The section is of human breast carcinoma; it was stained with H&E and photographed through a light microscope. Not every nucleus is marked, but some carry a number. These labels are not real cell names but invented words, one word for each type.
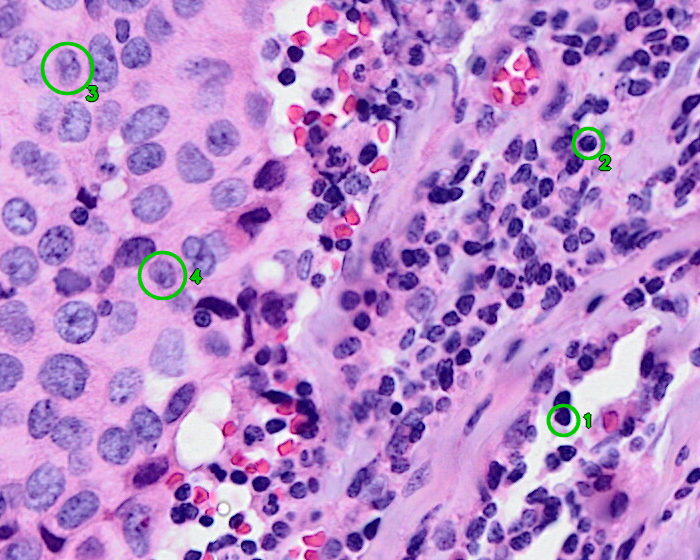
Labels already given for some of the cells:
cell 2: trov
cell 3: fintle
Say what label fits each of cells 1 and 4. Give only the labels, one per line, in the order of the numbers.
trov
fintle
